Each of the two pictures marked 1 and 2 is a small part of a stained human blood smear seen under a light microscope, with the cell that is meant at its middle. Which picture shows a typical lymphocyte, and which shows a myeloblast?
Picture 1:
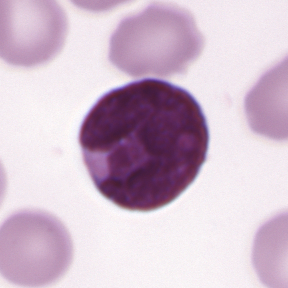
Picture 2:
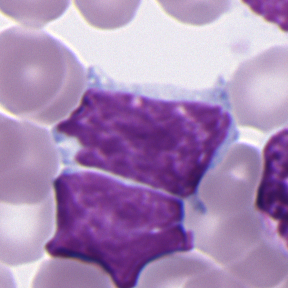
1: myeloblast
2: typical lymphocyte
